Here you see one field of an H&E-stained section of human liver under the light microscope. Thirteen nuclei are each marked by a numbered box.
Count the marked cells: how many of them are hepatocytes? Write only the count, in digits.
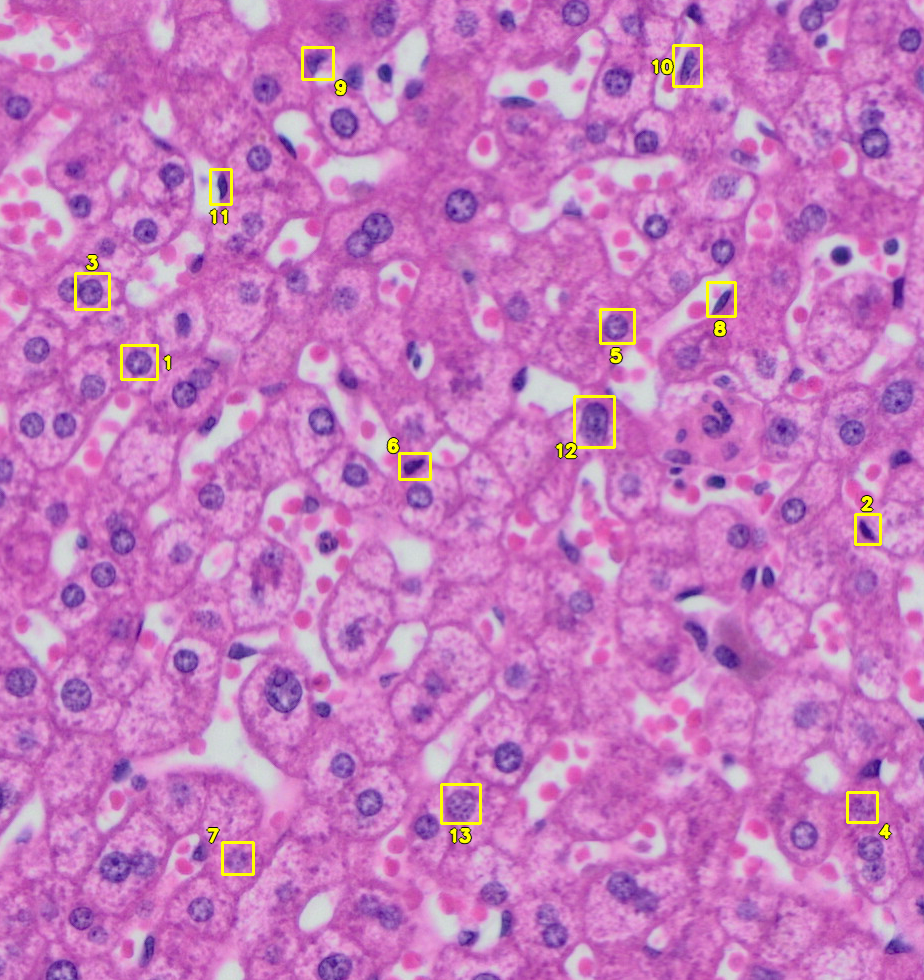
7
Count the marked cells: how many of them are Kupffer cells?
1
